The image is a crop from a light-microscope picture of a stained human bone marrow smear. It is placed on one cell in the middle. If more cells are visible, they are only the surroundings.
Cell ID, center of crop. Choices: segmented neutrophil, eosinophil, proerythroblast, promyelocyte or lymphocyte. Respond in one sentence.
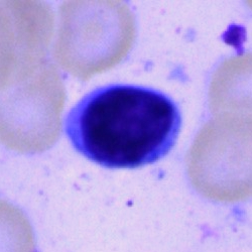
The cell at the middle of the crop is recognized as a lymphocyte.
